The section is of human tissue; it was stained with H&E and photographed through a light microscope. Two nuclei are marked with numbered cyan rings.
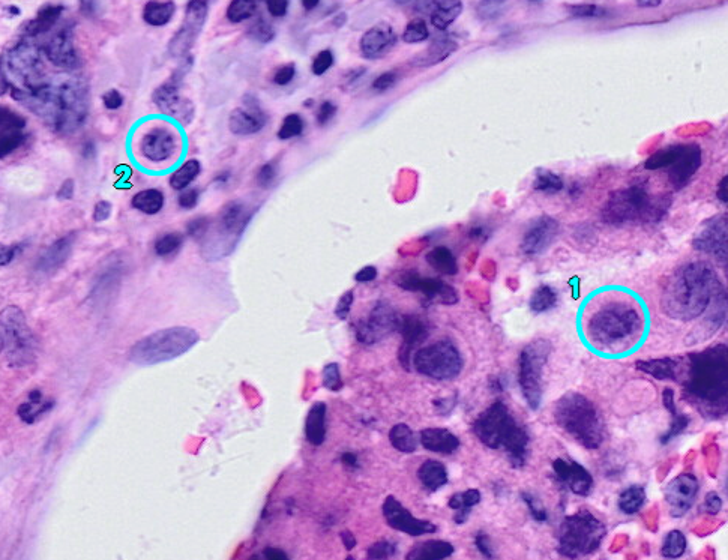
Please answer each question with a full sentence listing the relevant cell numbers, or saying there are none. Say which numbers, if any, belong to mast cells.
Of the cells bearing numbers, the only one that is a mast cell is cell 2.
